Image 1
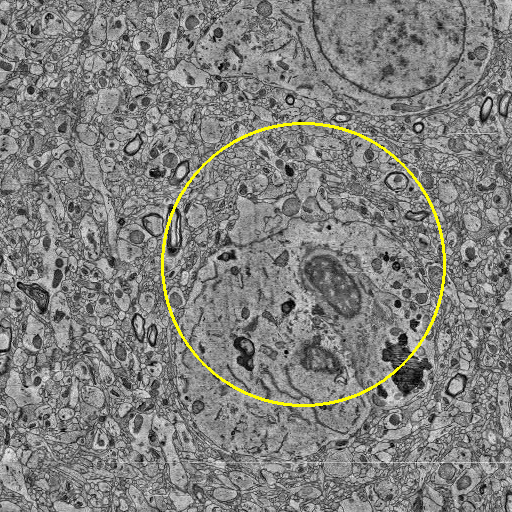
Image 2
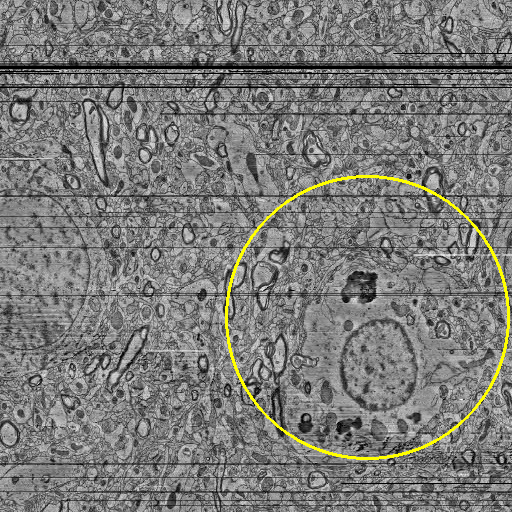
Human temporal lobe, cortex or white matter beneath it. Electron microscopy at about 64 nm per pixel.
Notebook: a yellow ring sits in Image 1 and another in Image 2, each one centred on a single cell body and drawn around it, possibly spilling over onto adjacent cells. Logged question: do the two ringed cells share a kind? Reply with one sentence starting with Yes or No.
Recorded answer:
No, the centre cells inside the rings of Image 1 and Image 2 are of two kinds.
